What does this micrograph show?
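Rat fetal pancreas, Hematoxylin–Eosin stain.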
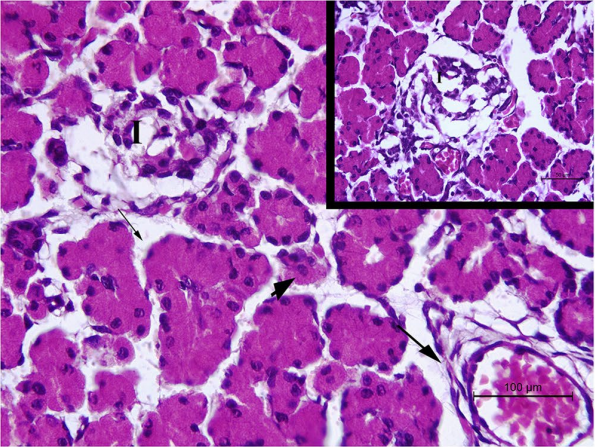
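Acinar cells are pyramidal with pink cytoplasm and round purple nuclei toward the base, grouped around small lumina. Acinar groups are separated by clear spaces. An islet at upper left is a rounded group of loosely arranged cells with clear spaces in and around it. An inset shows a similar loosely arranged islet at lower power.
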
